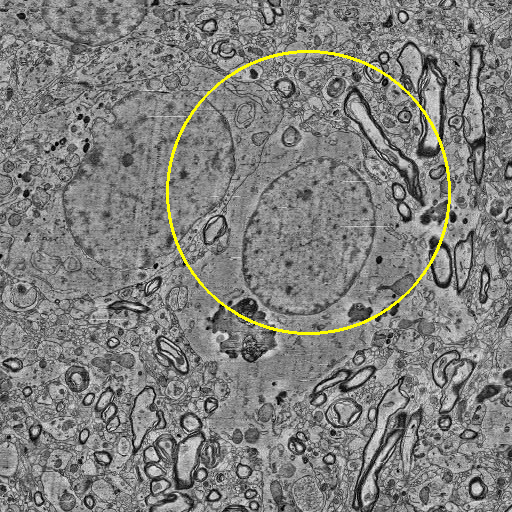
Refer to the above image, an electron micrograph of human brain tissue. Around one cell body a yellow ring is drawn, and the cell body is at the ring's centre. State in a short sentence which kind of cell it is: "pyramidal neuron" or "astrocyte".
The centre of the ring falls on an astrocyte.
